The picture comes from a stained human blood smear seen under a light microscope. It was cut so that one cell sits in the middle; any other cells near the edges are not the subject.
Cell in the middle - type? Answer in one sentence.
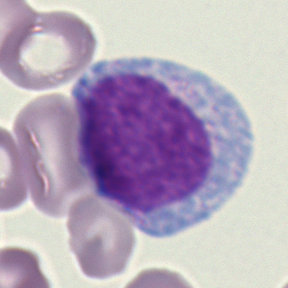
In the middle of this smear crop is a promyelocyte.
